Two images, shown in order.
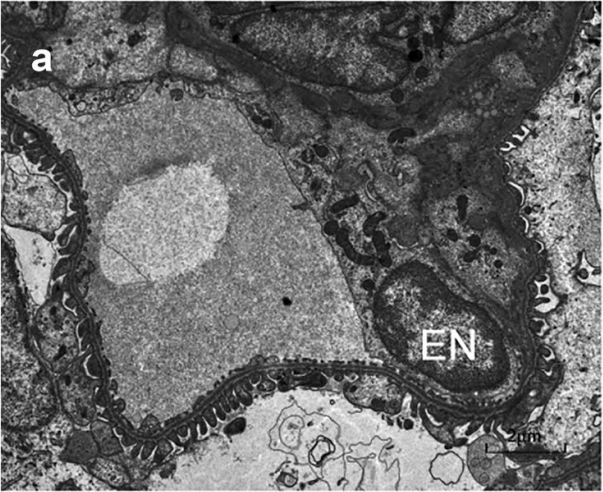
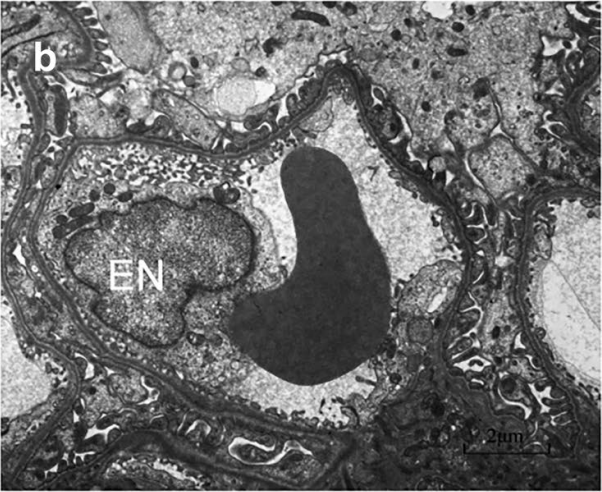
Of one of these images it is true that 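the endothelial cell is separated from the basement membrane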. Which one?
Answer: The second image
